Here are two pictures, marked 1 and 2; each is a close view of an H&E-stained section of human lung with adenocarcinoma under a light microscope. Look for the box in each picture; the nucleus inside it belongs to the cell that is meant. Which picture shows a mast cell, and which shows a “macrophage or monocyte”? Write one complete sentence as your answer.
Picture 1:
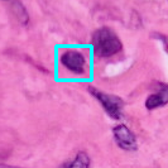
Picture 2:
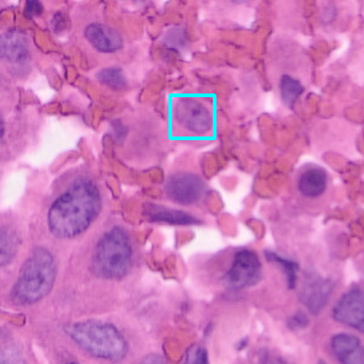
Picture 2 shows a “macrophage or monocyte”, while picture 1 shows a mast cell.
